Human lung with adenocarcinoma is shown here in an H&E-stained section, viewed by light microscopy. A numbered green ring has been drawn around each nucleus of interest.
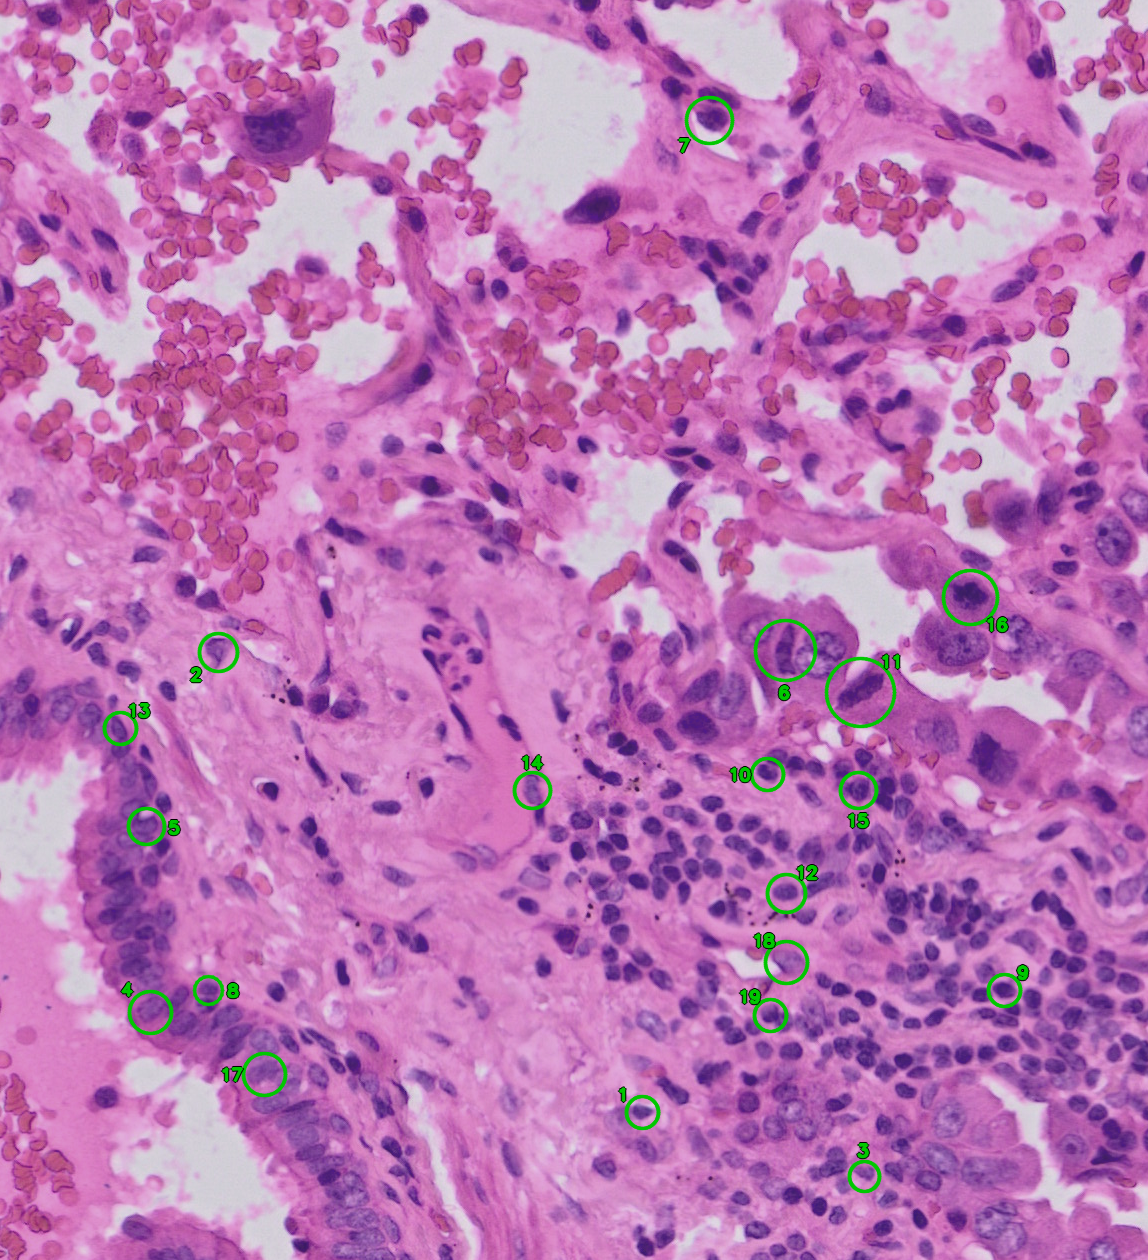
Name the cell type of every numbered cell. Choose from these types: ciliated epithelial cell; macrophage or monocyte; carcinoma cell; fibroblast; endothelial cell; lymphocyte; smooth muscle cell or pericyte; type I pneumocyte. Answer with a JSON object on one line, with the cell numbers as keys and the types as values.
{"1": "lymphocyte", "2": "fibroblast", "3": "lymphocyte", "4": "ciliated epithelial cell", "5": "ciliated epithelial cell", "6": "carcinoma cell", "7": "type I pneumocyte", "8": "ciliated epithelial cell", "9": "lymphocyte", "10": "lymphocyte", "11": "carcinoma cell", "12": "lymphocyte", "13": "ciliated epithelial cell", "14": "endothelial cell", "15": "lymphocyte", "16": "carcinoma cell", "17": "ciliated epithelial cell", "18": "endothelial cell", "19": "lymphocyte"}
